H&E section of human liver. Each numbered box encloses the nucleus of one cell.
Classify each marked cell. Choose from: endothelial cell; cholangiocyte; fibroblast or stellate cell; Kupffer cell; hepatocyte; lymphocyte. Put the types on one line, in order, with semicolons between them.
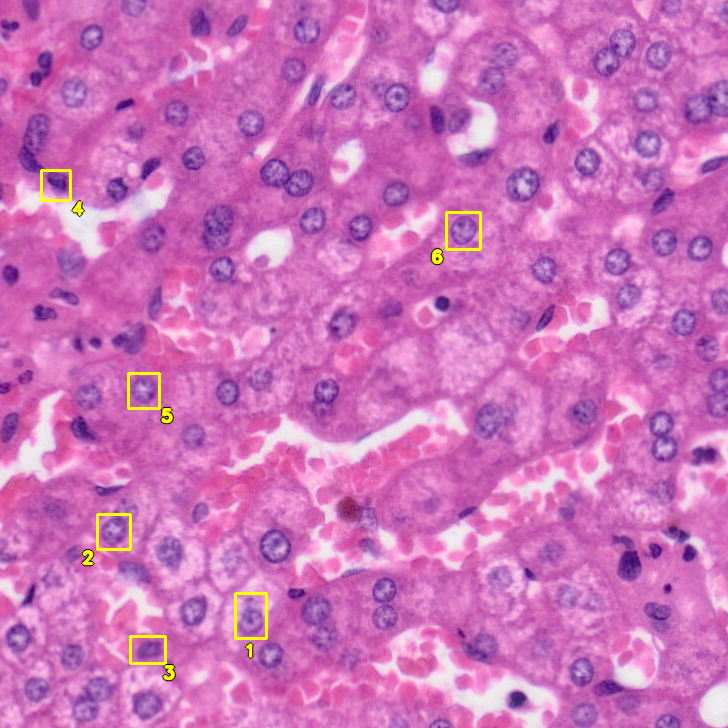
hepatocyte; hepatocyte; Kupffer cell; fibroblast or stellate cell; hepatocyte; hepatocyte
